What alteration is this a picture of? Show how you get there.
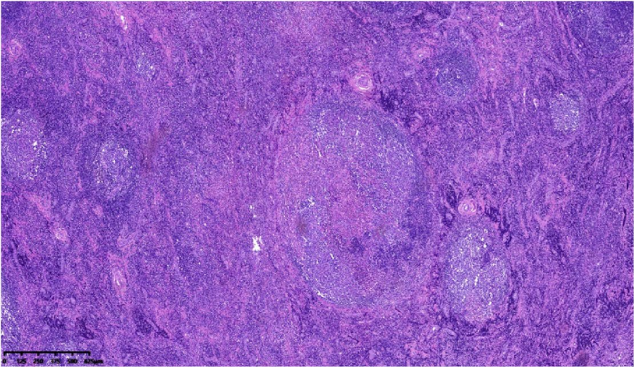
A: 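The germ centers proliferate. Several rounded pale follicle centers of varying size are spread through the node. One follicle center is much larger than the others.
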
